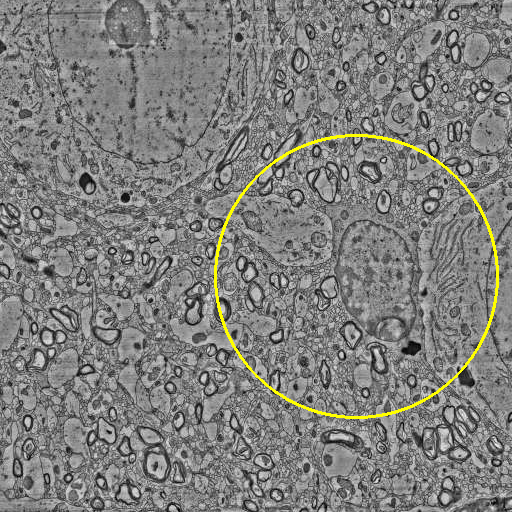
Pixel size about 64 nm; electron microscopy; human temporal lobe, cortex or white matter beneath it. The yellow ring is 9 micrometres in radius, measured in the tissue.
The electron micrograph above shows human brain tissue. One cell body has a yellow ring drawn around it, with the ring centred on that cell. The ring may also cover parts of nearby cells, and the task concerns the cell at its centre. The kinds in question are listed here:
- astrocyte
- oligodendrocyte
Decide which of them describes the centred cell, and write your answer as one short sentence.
The centred cell is an oligodendrocyte.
